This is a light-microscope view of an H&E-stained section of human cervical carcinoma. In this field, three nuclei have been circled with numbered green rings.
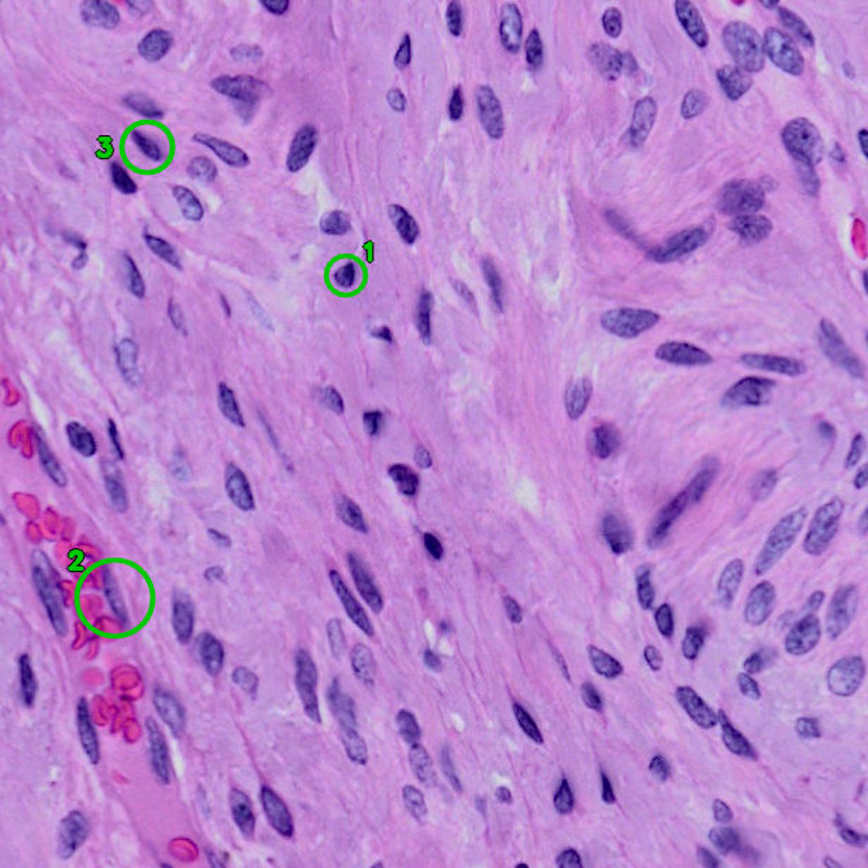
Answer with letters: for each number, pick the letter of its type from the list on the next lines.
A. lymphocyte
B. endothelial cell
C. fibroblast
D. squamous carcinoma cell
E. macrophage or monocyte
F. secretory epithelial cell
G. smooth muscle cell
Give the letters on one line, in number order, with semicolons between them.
C; B; C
